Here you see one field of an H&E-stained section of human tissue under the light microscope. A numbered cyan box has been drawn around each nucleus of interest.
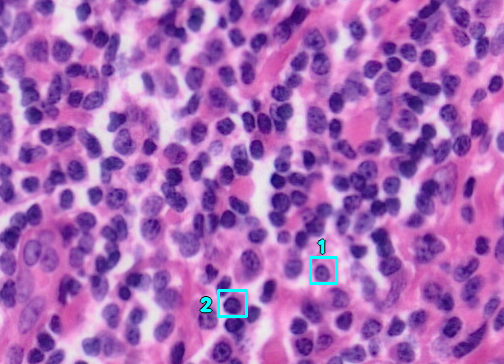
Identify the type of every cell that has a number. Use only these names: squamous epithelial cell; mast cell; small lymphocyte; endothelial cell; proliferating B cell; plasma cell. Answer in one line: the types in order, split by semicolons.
mast cell; plasma cell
